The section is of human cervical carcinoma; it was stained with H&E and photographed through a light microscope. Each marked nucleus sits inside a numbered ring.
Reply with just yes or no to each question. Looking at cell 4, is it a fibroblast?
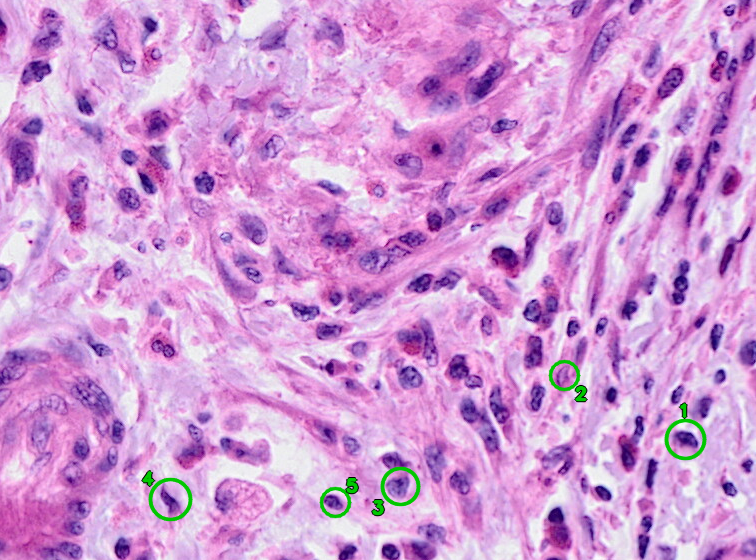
yes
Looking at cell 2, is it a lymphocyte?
no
